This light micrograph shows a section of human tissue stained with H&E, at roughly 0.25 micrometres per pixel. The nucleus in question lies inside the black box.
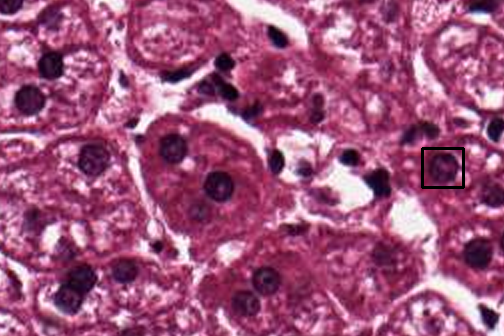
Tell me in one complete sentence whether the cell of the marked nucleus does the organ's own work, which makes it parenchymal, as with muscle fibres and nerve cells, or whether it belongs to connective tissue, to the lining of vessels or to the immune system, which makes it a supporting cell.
In the tissue shown, the marked nucleus is that of an adrenal cortical cell, a parenchymal cell.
